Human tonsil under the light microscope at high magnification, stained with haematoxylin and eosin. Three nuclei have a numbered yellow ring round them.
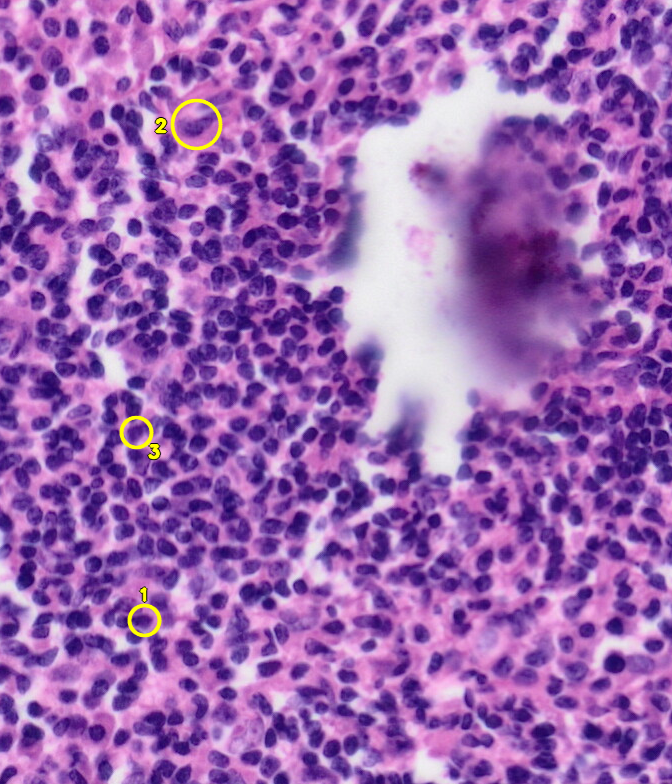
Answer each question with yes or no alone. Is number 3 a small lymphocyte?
yes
